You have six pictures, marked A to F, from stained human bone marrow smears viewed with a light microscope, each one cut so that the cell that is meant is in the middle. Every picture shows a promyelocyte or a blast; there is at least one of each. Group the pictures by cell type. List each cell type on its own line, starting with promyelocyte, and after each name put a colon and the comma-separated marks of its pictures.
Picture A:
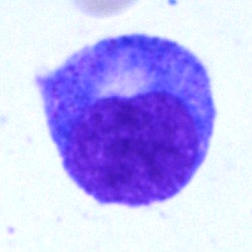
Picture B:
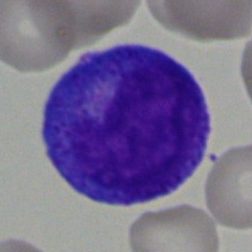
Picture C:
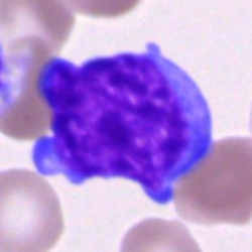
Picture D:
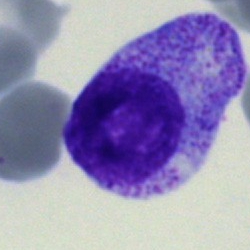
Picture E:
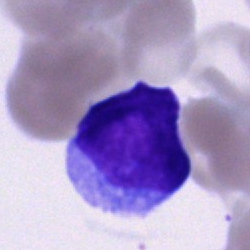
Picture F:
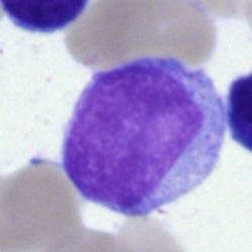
promyelocyte: A, B, D
blast: C, E, F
